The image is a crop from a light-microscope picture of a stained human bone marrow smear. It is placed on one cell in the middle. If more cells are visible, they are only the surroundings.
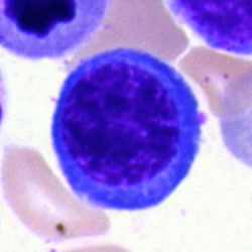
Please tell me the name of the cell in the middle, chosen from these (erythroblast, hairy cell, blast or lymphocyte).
erythroblast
